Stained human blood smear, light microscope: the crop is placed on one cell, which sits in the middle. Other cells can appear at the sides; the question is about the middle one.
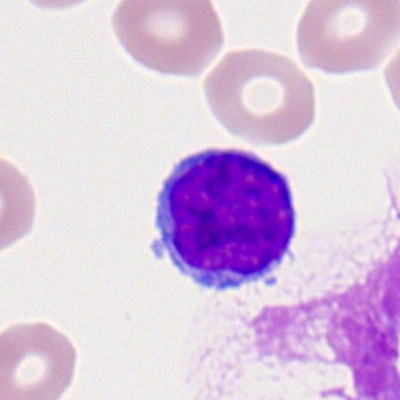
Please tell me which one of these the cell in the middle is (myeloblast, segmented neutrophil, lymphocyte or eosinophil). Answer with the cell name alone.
lymphocyte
